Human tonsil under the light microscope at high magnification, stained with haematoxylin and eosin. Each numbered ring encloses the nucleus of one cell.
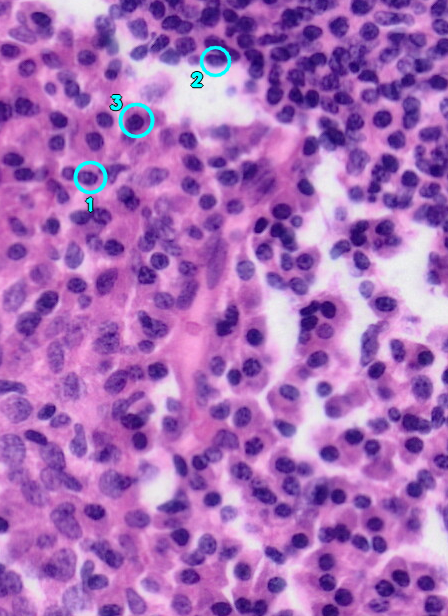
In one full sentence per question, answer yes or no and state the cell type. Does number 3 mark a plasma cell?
Yes, in this section the cell with number 3 is a plasma cell.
